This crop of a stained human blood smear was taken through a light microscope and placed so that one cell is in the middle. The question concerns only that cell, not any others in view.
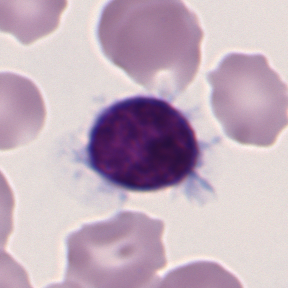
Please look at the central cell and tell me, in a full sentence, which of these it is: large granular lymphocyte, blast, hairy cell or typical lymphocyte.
The cell the crop is centered on is a hairy cell.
